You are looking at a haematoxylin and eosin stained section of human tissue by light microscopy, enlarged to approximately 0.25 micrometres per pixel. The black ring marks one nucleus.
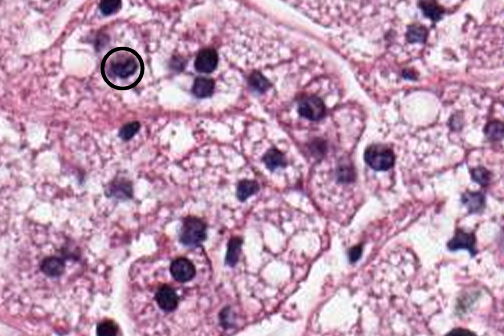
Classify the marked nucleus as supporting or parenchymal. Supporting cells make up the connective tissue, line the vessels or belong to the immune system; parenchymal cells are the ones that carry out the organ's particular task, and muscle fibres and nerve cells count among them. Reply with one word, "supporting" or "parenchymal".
parenchymal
